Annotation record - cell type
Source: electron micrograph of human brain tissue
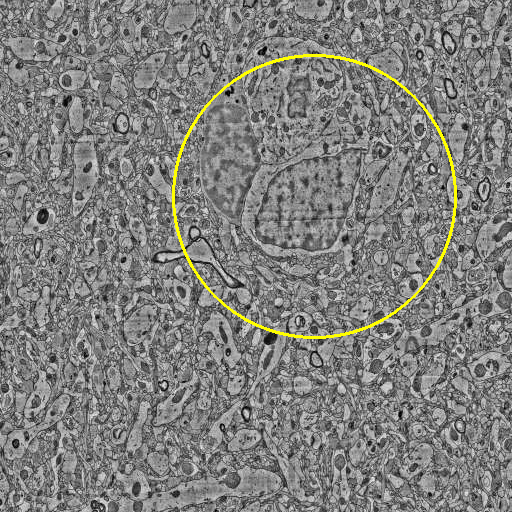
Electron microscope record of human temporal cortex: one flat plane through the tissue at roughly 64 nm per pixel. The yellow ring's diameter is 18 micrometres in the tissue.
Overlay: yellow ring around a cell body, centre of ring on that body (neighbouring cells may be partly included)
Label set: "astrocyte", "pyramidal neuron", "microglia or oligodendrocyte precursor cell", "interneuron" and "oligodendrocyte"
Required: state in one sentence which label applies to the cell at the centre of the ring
This cell should be labelled as a microglial cell or oligodendrocyte precursor cell.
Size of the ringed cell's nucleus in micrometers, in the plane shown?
In this plane the nucleus measures roughly 7 by 6 micrometers.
